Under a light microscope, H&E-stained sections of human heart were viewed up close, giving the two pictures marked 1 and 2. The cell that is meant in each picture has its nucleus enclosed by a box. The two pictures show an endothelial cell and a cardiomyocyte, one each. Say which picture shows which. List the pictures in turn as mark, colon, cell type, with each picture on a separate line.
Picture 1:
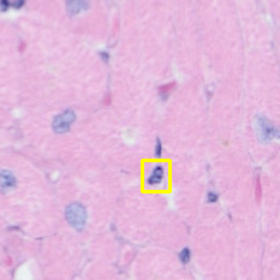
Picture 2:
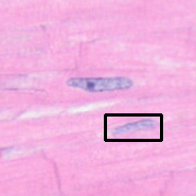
1: endothelial cell
2: cardiomyocyte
